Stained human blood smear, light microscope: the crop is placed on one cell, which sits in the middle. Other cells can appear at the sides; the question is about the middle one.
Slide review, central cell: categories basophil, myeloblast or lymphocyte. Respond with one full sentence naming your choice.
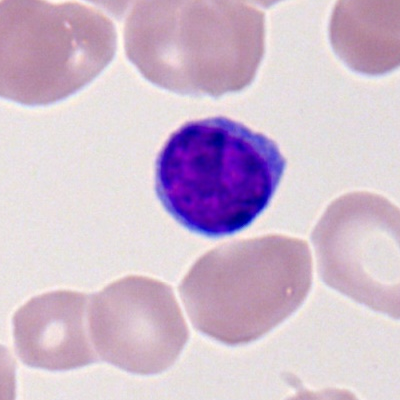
By classification, the middle cell of this crop is a lymphocyte.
